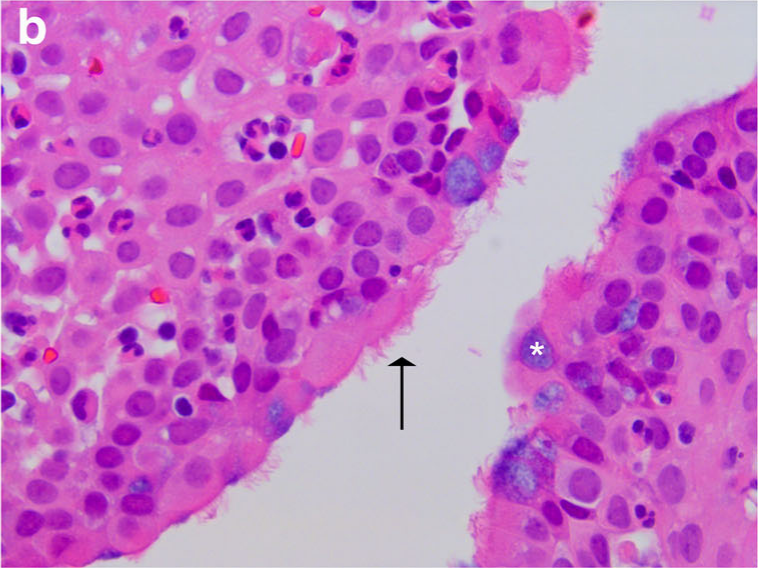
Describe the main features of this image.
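This is a high-power view of an epithelial lining containing ciliated cells and goblet cells, with inflammatory cells among them. Along the free surface of the left fragment, the cells bear a delicate fringe of fine hair-like cilia projecting into the empty space. Within the lining on the right lies a cell whose cytoplasm is pale bluish-grey and finely granular, standing out against the pink cytoplasm of the surrounding cells; several similar bluish cells are scattered along both fragments. Most epithelial cells have round to oval nuclei with fine chromatin and moderate pink cytoplasm. Between them are small cells with dark, lobed nuclei and a few bright red blood cells, marking an acute inflammatory infiltrate.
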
